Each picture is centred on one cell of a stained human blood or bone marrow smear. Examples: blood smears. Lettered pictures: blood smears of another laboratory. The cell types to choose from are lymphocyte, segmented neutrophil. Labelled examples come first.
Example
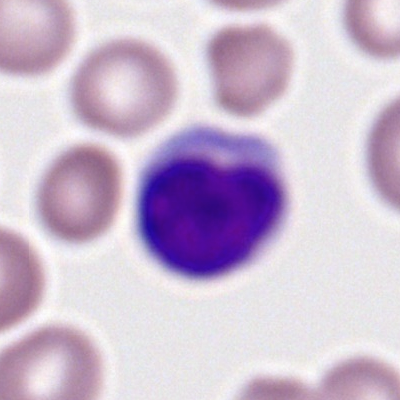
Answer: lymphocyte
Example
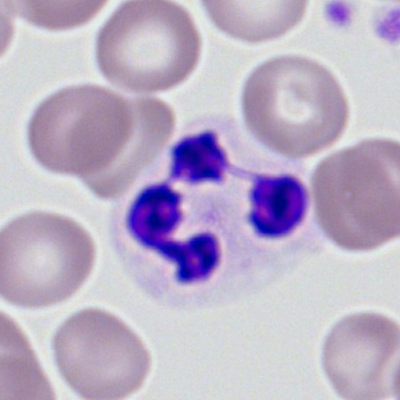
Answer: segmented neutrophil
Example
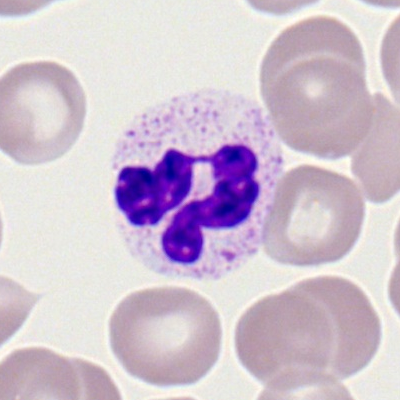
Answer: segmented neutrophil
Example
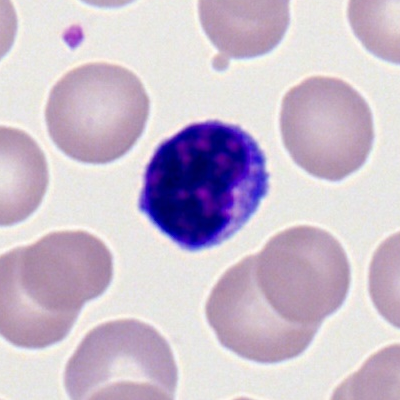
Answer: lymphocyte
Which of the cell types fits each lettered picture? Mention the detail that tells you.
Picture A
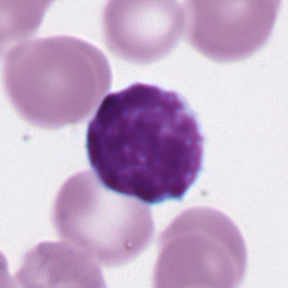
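lymphocyte. Reason: The cytoplasm is only a very thin pale blue rim, best seen along the right and lower edge.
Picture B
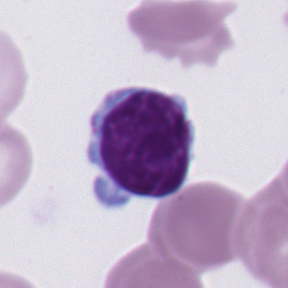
lymphocyte. Reason: The cytoplasm forms a thin rim that is widest on the left side of the cell.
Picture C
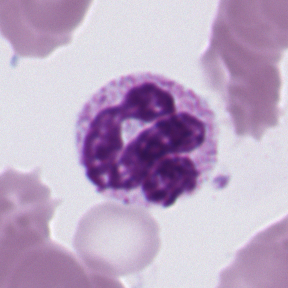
segmented neutrophil. Reason: The nucleus is divided into several lobes joined to one another.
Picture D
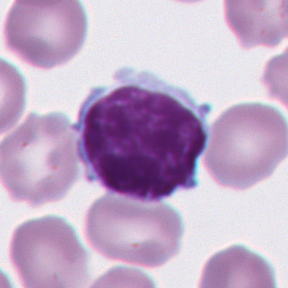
lymphocyte. Reason: The cytoplasm forms only a thin rim around the nucleus, which fills most of the cell.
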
